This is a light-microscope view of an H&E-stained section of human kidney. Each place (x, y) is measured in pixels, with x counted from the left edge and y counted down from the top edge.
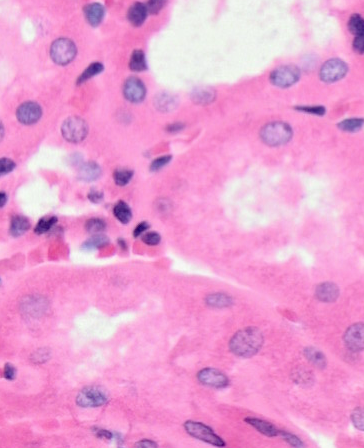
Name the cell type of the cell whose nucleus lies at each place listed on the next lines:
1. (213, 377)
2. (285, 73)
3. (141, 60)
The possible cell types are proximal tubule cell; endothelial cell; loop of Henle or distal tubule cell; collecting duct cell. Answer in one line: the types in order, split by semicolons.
proximal tubule cell; loop of Henle or distal tubule cell; loop of Henle or distal tubule cell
